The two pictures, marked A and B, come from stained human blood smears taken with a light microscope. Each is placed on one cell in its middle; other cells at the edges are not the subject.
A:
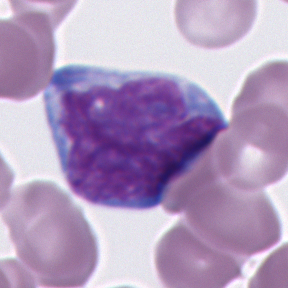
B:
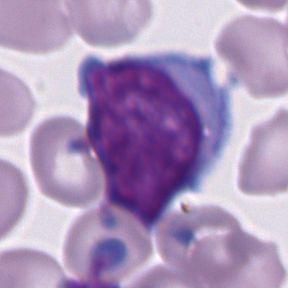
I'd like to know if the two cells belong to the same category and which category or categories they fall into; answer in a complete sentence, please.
Yes, myeloblasts are what the two crops show.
